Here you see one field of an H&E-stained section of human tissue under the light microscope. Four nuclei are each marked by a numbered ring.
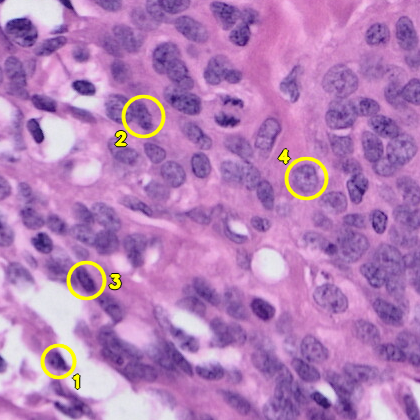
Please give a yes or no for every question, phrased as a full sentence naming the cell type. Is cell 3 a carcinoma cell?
Yes, that one, number 3, is a carcinoma cell.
